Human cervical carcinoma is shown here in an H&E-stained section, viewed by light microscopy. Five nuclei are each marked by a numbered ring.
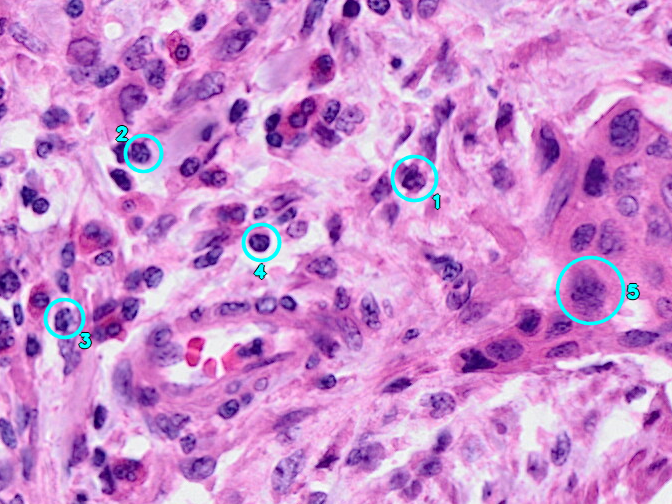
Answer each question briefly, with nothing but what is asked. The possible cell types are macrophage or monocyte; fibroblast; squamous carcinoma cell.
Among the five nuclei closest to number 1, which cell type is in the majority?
fibroblast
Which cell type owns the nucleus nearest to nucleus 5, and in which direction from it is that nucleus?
a squamous carcinoma cell; below and to the left of nucleus 5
